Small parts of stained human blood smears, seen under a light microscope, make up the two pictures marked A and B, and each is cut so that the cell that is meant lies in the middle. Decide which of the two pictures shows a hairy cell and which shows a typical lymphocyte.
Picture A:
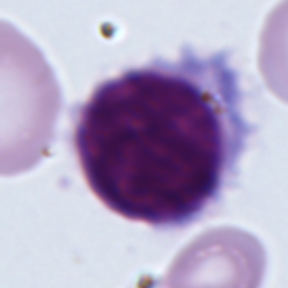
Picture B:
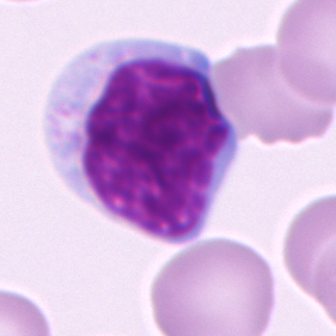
A: hairy cell
B: typical lymphocyte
